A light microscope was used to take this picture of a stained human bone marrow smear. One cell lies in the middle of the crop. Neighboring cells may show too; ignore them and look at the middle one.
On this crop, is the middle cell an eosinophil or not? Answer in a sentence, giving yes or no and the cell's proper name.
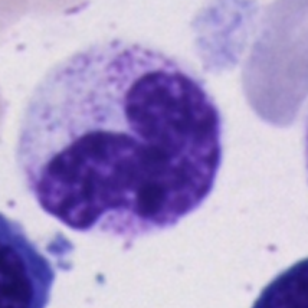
No, the cell in the centre is a band neutrophil instead of an eosinophil.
